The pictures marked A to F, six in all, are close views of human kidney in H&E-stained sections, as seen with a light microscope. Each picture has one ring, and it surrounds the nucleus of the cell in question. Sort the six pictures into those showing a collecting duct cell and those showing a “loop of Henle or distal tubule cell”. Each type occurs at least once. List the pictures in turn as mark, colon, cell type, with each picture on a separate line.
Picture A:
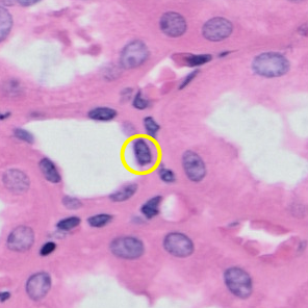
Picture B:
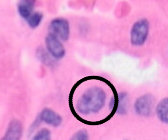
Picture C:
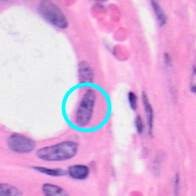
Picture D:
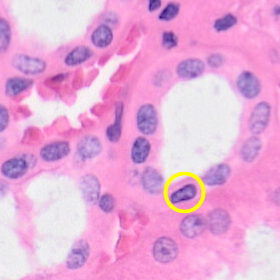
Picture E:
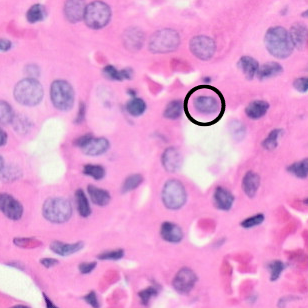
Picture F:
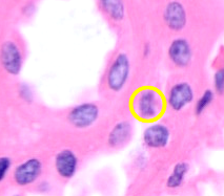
A: loop of Henle or distal tubule cell
B: collecting duct cell
C: collecting duct cell
D: collecting duct cell
E: loop of Henle or distal tubule cell
F: loop of Henle or distal tubule cell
